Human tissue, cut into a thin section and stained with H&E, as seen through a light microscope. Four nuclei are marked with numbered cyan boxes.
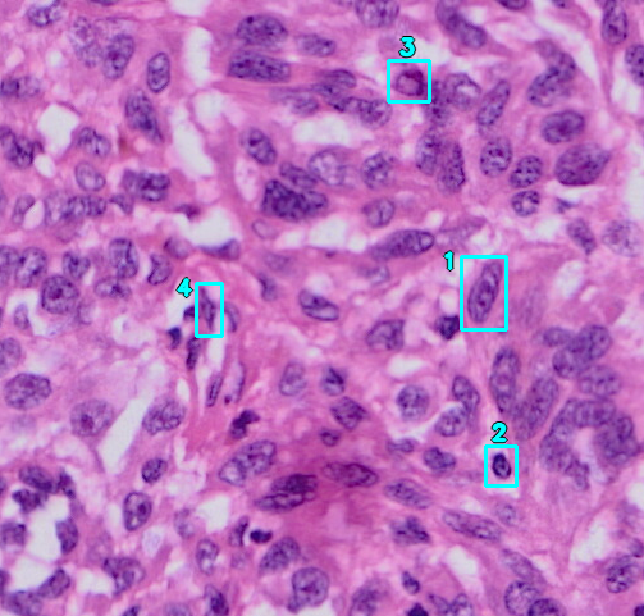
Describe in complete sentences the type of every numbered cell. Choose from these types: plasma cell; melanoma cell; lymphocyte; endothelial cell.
Cells 1 and 3 are melanoma cells. Cell 2 is a lymphocyte. Cell 4 is an endothelial cell.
